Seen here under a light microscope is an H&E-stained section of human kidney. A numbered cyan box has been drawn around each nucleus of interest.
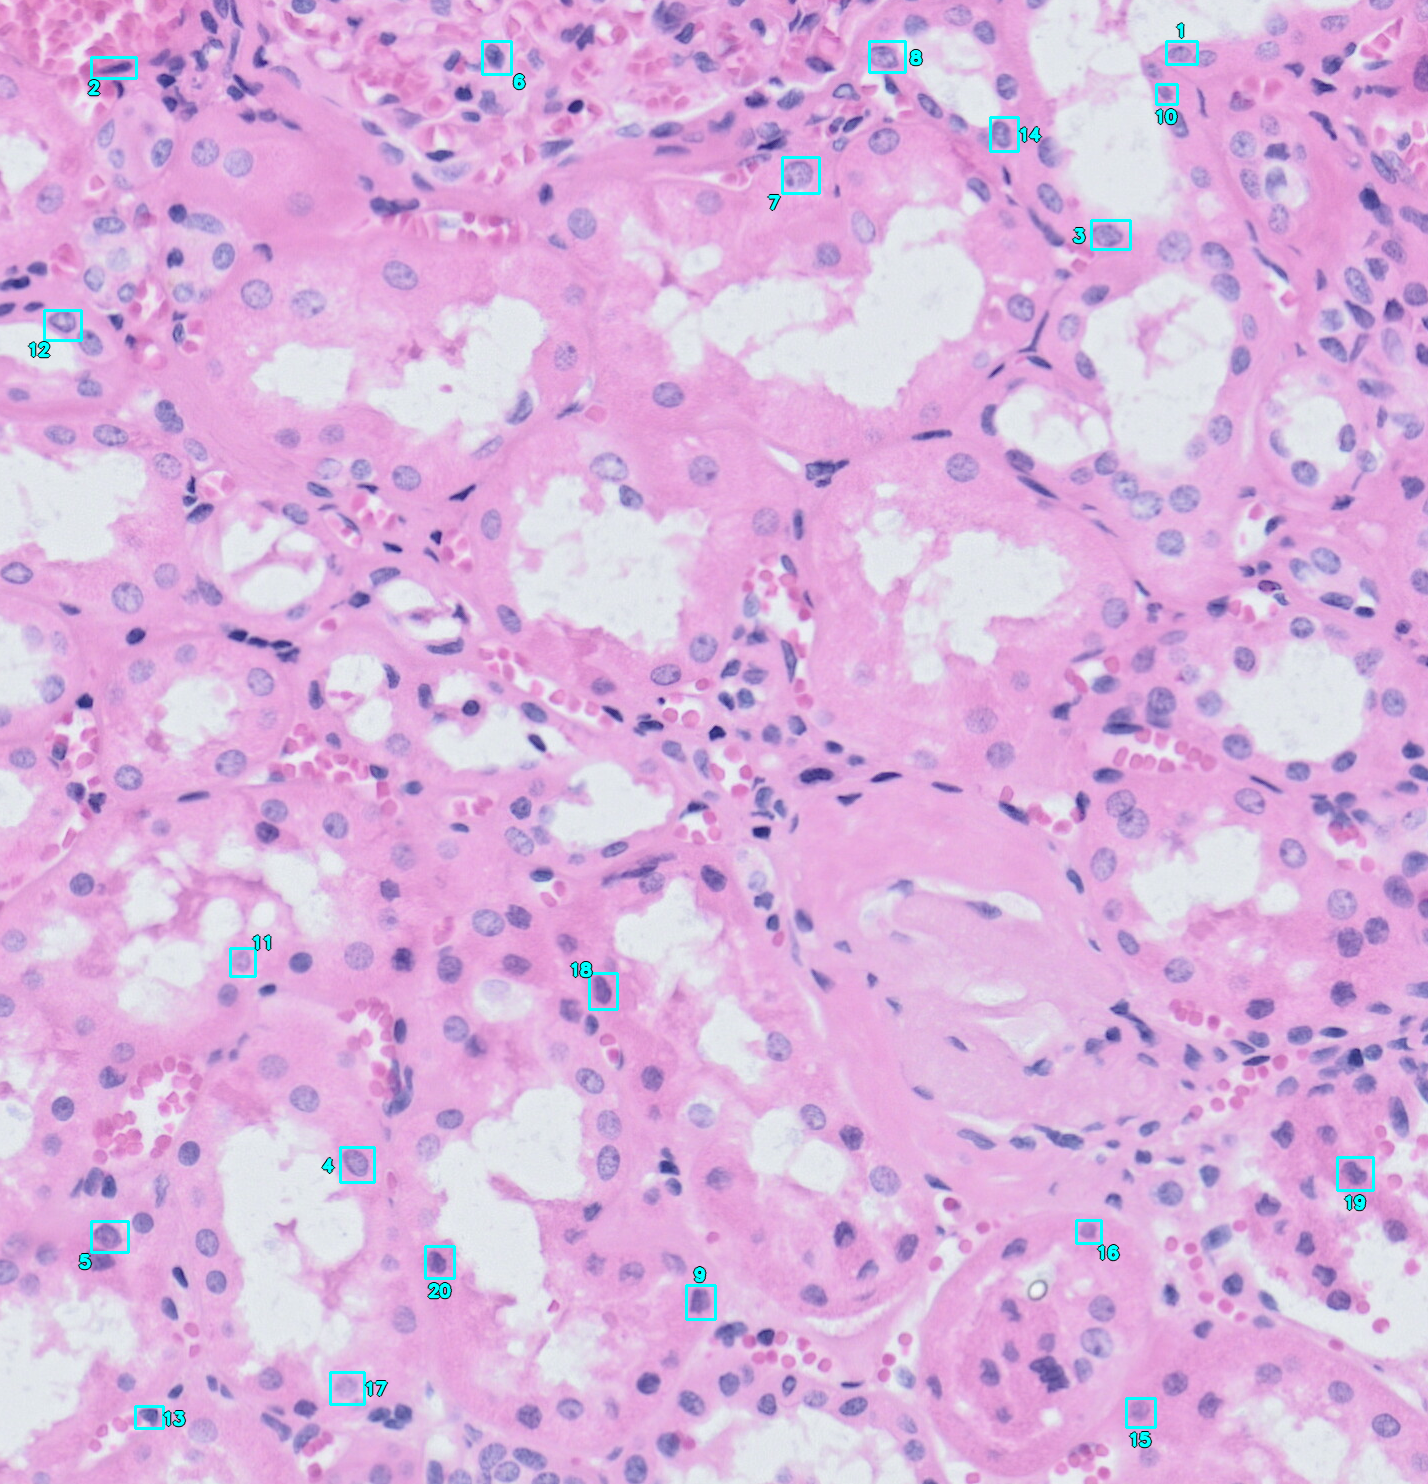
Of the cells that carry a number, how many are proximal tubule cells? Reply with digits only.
11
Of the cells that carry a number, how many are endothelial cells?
3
